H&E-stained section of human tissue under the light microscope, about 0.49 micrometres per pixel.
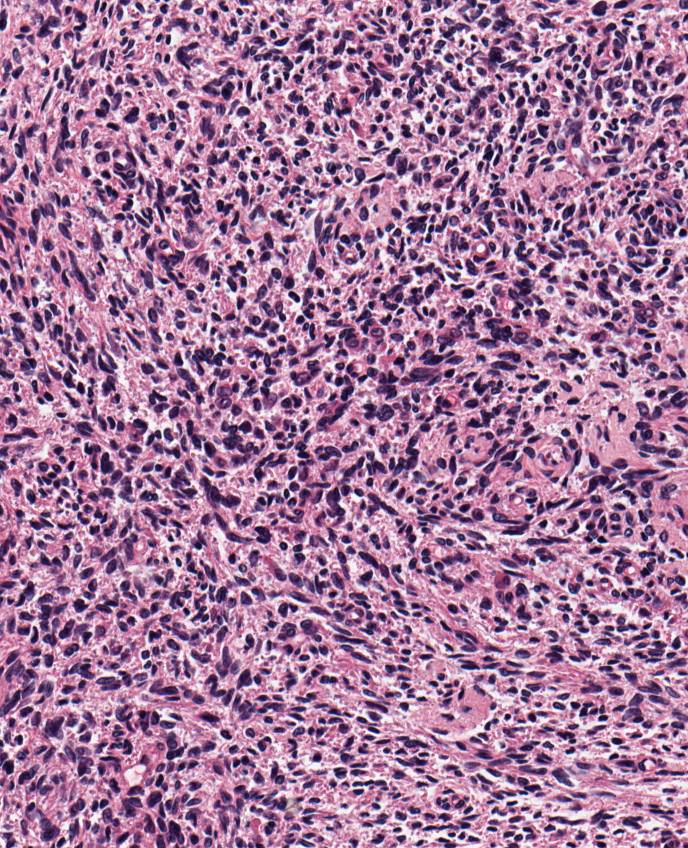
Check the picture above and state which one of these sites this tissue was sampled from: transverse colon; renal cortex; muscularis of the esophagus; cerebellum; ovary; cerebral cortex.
ovary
